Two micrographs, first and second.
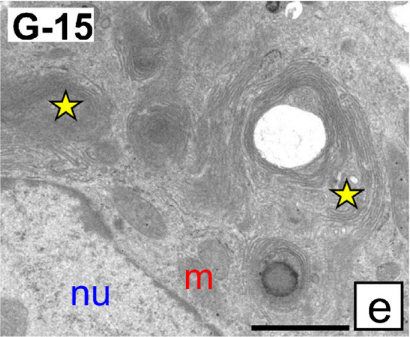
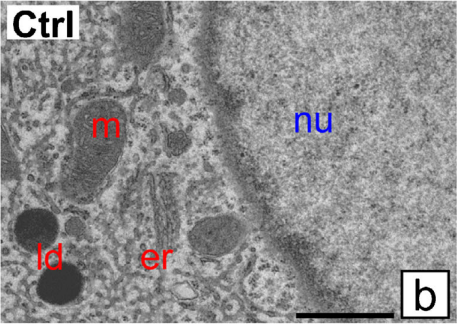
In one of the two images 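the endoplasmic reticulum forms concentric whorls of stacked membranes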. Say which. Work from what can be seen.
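First image: large rings of tightly stacked membranes fill much of the cytoplasm. Second image: the endoplasmic reticulum appears as short scattered tubules and a small stack, with no whorls.
Conclusion: the first image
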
